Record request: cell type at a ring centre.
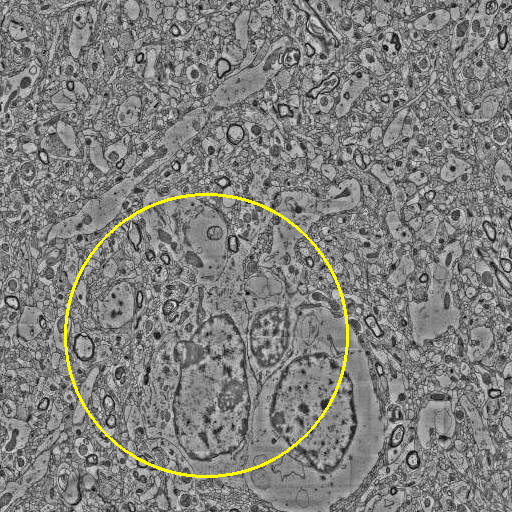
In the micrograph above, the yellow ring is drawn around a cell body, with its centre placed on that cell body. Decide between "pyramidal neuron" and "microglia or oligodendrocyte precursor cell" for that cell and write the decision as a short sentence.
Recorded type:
The cell centred in the yellow ring is a microglial cell or oligodendrocyte precursor cell.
